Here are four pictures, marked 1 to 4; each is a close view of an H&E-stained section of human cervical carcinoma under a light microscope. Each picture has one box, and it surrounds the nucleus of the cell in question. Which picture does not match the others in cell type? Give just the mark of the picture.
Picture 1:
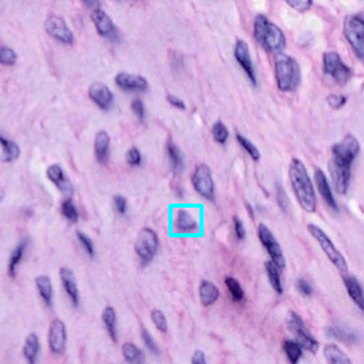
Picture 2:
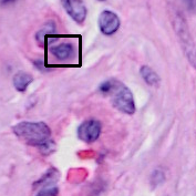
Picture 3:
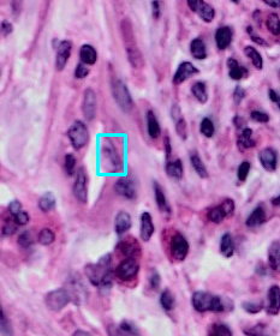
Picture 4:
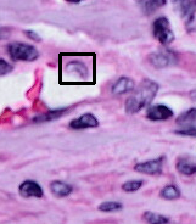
1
